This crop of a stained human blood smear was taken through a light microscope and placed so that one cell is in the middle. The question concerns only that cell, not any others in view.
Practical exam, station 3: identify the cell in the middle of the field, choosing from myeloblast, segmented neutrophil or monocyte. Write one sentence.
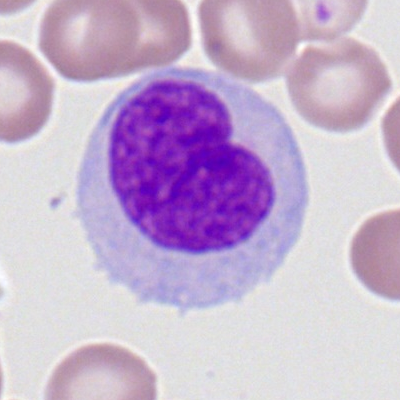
The middle of this crop holds a monocyte.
